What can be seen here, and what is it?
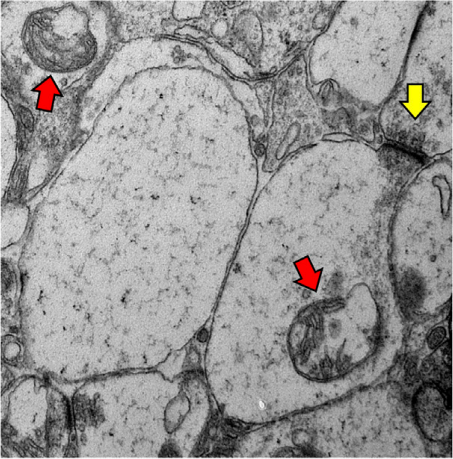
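Two big rounded profiles with light, finely speckled content dominate the field. A short dark membrane thickening at the upper right marks a synapse. Between the big profiles run thin bands of darker cytoplasm and membranes.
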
